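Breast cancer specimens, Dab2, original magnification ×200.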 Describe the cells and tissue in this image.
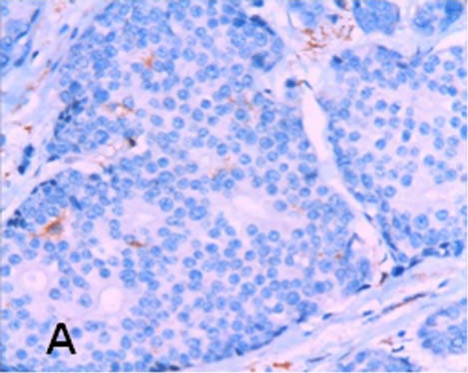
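Large rounded nests of tightly packed epithelial cells with round, fairly uniform blue nuclei are bounded by bands of fibrous stroma, and small round punched-out spaces lie within the nests. The tumour cells are almost free of brown stain, with only faint brown specks here and there. This is ductal carcinoma in situ filling expanded ducts.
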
